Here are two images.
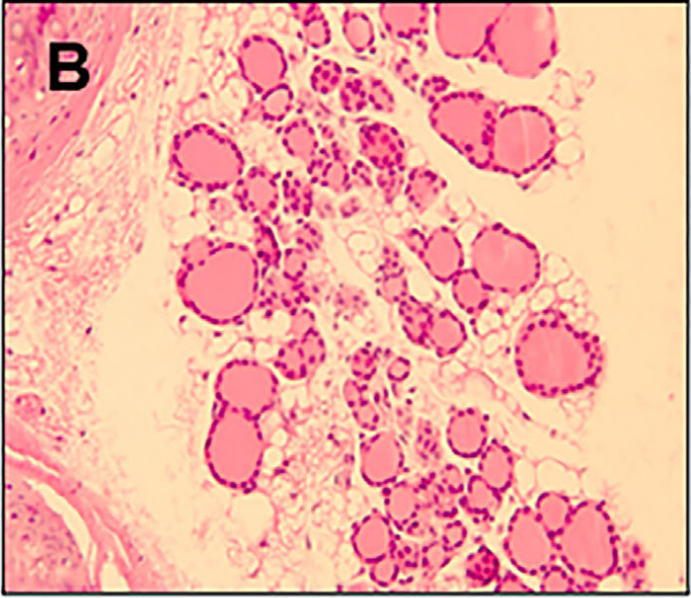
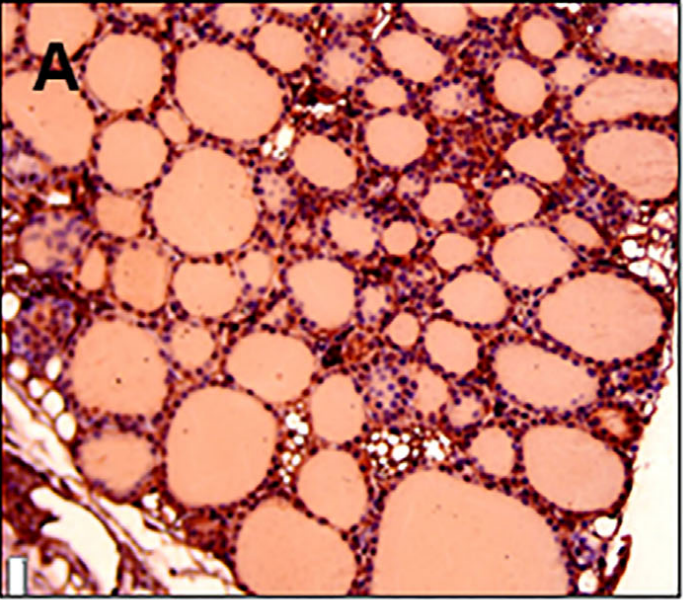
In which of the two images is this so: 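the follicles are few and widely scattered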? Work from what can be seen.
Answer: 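The first image. First image: a modest number of small follicles lie spread apart in loose pale connective tissue. Second image: many follicles of varied size are packed tightly together across the whole field.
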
